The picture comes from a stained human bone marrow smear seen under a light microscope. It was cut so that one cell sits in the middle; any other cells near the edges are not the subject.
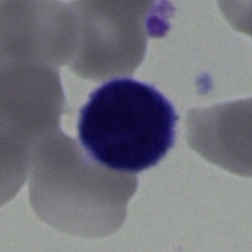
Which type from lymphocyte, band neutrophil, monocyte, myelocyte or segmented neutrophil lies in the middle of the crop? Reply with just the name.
lymphocyte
